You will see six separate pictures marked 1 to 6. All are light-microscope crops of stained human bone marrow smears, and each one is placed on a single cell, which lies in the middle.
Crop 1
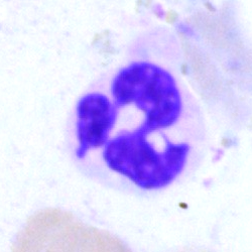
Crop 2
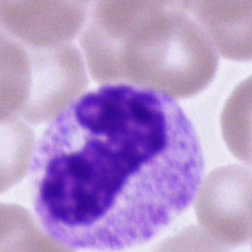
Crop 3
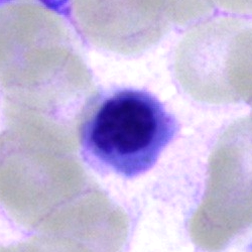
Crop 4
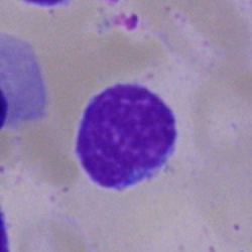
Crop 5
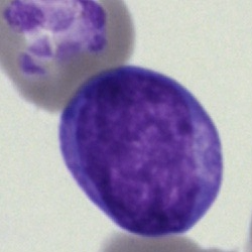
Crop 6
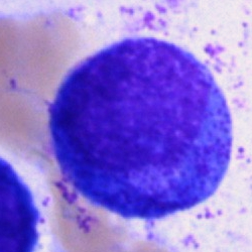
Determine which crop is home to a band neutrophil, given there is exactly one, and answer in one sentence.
Of the crops shown, crop 2 depicts a band neutrophil.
